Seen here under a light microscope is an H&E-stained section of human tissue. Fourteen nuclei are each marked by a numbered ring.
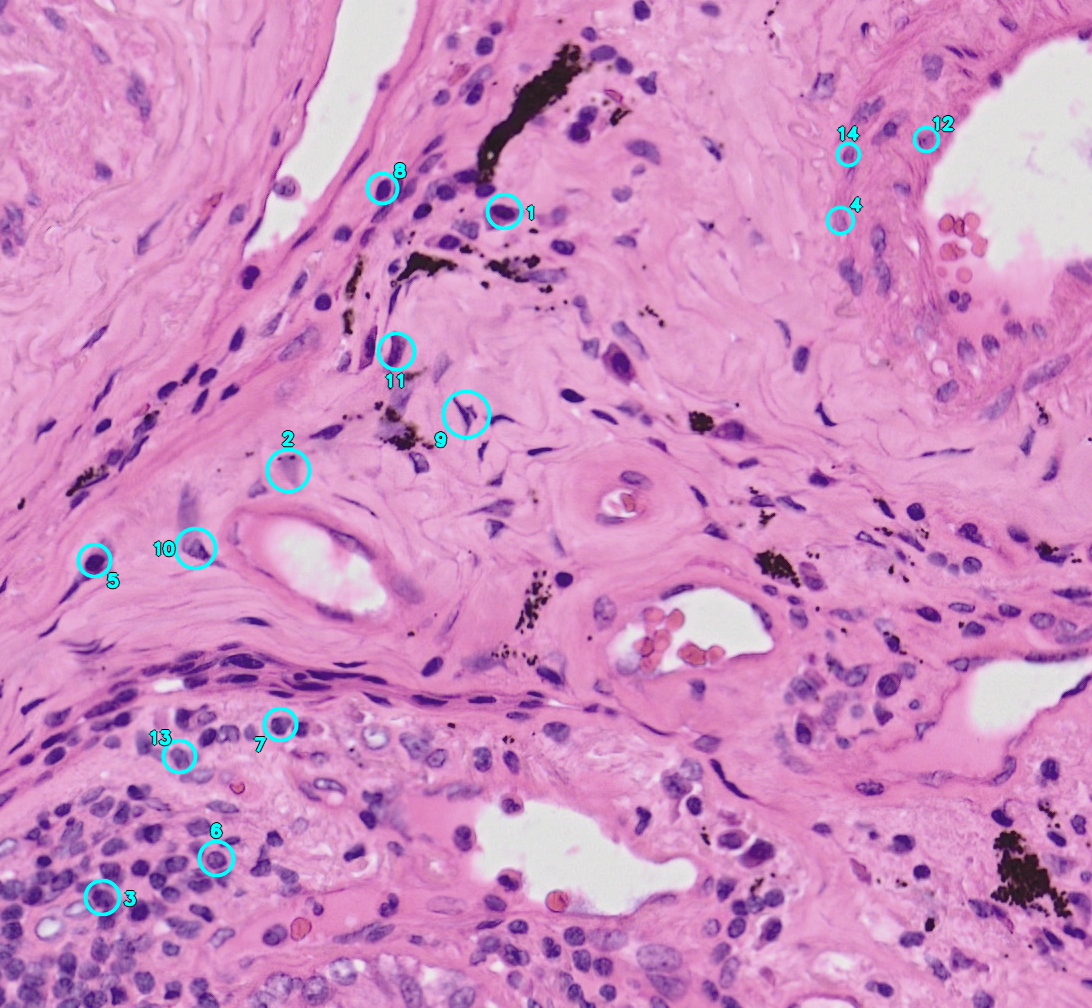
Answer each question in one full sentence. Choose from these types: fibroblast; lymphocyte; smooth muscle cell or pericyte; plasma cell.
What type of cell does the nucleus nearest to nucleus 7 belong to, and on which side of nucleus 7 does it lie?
A plasma cell lies closest, to the right of nucleus 7.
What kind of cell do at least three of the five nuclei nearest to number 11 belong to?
Most of the five nuclei nearest to number 11 are those of fibroblasts.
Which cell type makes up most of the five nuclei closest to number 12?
Most of the five nuclei nearest to number 12 are those of smooth muscle cells or pericytes.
